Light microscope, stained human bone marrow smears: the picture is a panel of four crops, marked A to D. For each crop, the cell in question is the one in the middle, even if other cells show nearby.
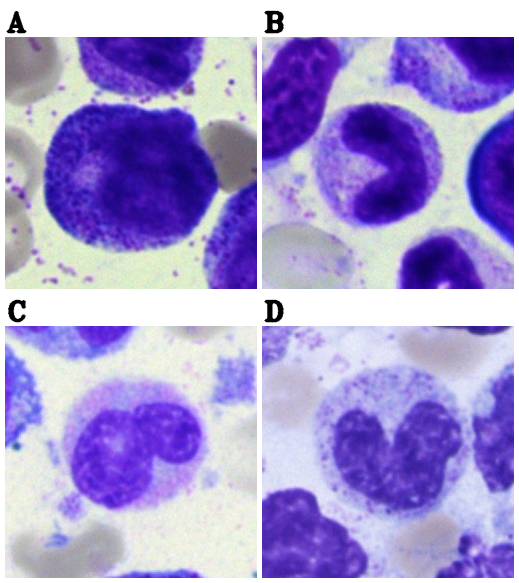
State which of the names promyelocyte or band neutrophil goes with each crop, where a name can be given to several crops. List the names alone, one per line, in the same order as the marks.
promyelocyte
band neutrophil
band neutrophil
band neutrophil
